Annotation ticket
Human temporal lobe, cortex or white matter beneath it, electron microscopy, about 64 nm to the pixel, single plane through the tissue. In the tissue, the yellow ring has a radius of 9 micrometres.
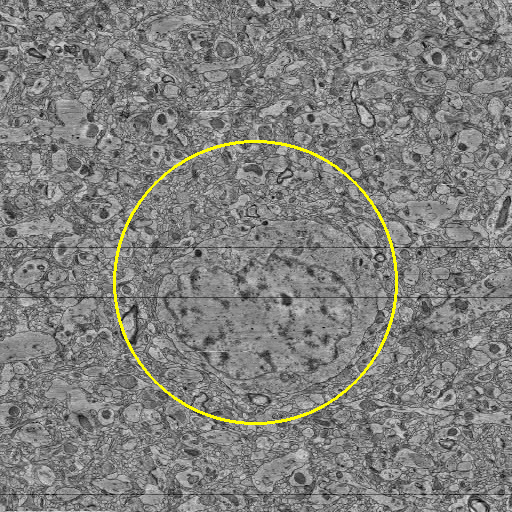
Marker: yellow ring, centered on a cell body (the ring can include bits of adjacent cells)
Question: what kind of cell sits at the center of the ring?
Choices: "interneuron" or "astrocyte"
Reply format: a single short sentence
The ring is centered on an interneuron.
